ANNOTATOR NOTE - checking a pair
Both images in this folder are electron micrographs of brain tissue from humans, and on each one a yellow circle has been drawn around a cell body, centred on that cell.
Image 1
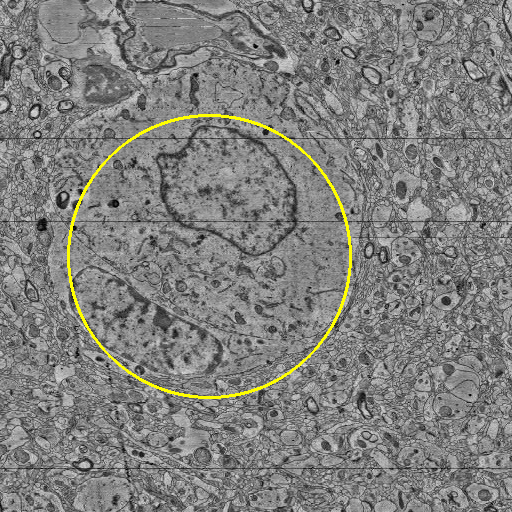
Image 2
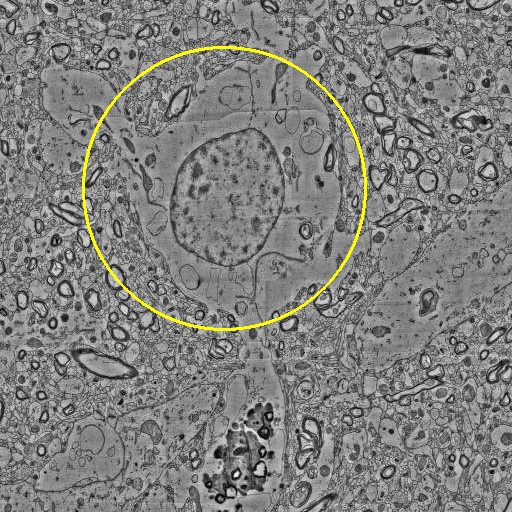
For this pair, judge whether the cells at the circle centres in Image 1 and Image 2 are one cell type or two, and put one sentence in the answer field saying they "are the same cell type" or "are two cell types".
For this pair, the cells at the circle centres in Images 1 and 2 are two cell types.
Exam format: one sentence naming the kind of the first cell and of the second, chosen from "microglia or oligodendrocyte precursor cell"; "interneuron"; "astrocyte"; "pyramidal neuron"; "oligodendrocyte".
The first picture's cell is a pyramidal neuron, and the second picture's cell is an astrocyte.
